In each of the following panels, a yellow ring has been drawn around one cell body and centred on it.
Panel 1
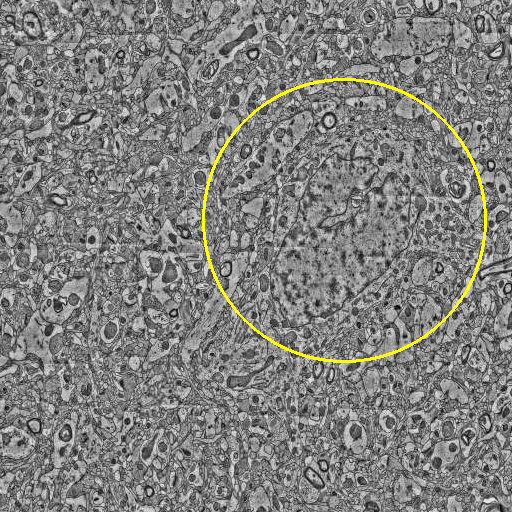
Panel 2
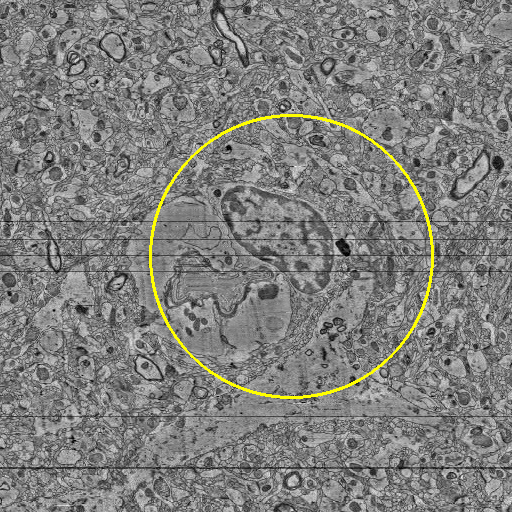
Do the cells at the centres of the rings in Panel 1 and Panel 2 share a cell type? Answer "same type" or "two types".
two types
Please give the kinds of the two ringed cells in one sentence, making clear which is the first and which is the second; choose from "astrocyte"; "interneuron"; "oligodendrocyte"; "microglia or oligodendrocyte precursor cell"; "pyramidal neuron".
In the second picture the ringed cell is a microglial cell or oligodendrocyte precursor cell; in the first it is an interneuron.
